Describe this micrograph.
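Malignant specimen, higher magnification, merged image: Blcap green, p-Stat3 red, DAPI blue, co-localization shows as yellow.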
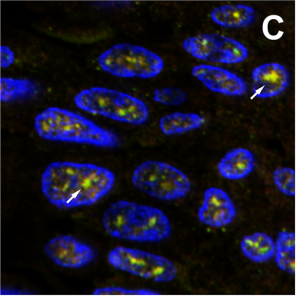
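The nuclei are oval to irregular, some elongated or indented, and vary in size. Within most nuclei lie several compact, bright yellow bodies, mostly toward the centre, with a few green or red specks beside them. Only a faint yellowish haze fills the spaces between the nuclei.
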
